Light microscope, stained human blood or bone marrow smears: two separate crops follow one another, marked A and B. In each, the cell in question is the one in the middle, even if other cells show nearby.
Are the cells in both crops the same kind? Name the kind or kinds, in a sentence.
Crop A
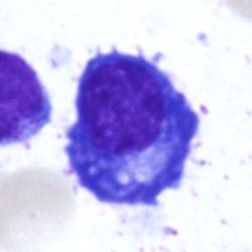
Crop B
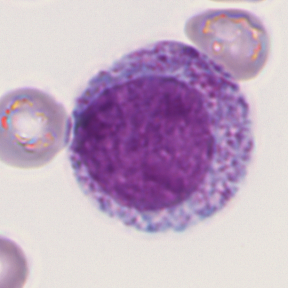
No, what crop A shows is a plasma cell, and what crop B shows is a promyelocyte.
